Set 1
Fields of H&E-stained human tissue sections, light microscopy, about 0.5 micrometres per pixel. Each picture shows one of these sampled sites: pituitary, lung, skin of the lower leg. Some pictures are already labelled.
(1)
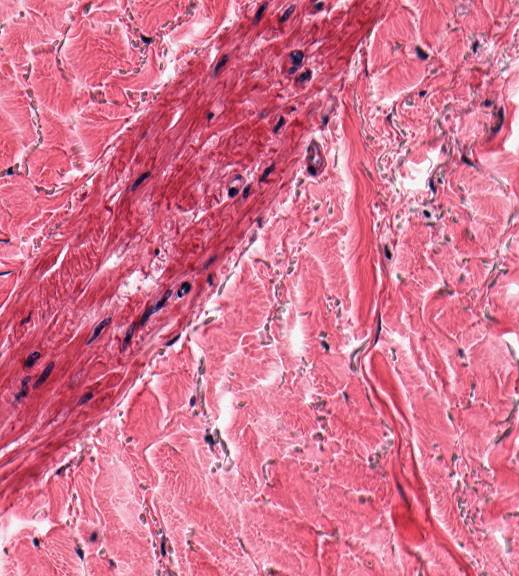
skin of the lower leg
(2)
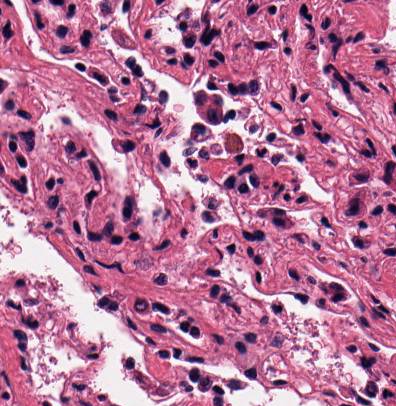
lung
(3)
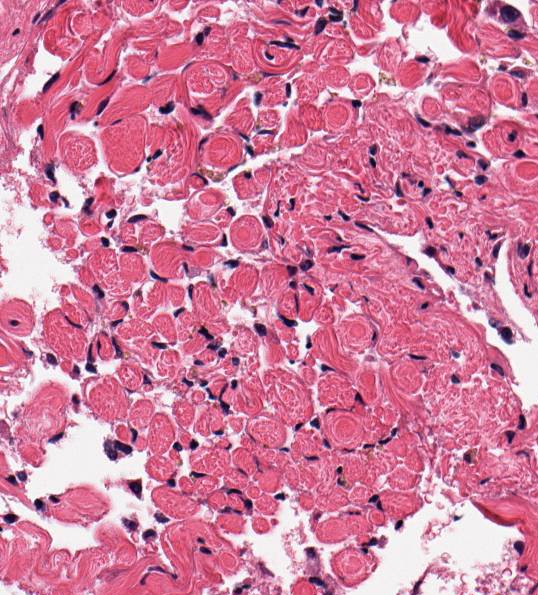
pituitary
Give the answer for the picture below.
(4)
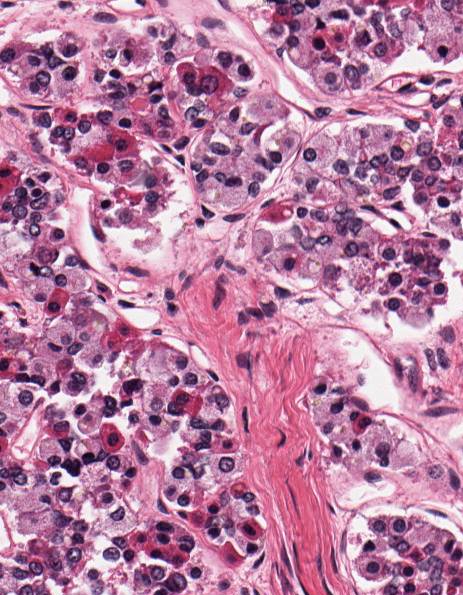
pituitary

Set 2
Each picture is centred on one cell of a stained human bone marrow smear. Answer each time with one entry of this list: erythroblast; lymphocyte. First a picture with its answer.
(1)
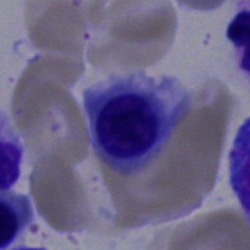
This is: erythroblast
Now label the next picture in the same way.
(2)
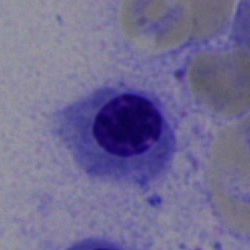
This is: erythroblast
